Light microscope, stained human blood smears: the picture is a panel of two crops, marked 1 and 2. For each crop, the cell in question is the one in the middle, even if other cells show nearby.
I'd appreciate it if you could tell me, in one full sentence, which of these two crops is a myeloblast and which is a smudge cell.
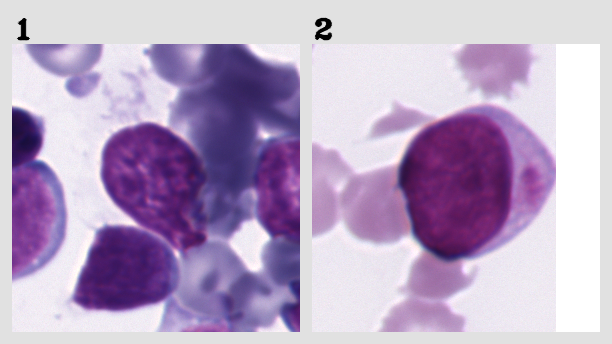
The cell at the centre of crop 1 is a smudge cell, and at the centre of crop 2, a myeloblast.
